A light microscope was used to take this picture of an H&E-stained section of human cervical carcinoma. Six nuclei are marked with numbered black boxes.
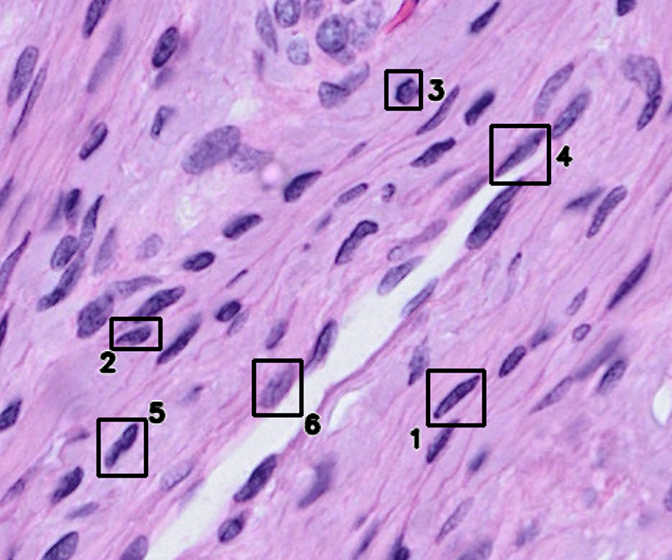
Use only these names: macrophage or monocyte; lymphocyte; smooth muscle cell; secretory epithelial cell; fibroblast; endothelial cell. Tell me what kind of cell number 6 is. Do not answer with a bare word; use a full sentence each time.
The identity of cell 6 is that of an endothelial cell.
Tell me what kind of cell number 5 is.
What the number 5 marks in this field is a fibroblast.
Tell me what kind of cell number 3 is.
The cell assigned the number 3 is a fibroblast.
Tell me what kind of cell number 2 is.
The label 2 in this section denotes a fibroblast.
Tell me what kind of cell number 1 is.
Belonging to a fibroblast is the nucleus that carries the number 1.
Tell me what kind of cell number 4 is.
Identified by the number 4, the cell is an endothelial cell.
